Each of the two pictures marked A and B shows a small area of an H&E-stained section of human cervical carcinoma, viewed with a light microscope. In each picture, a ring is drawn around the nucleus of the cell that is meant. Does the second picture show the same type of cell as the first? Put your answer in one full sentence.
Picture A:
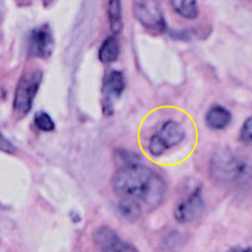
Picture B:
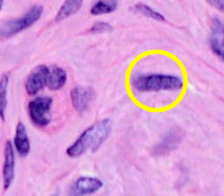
No; the cell in picture A is an endothelial cell, while the one in picture B is a fibroblast.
